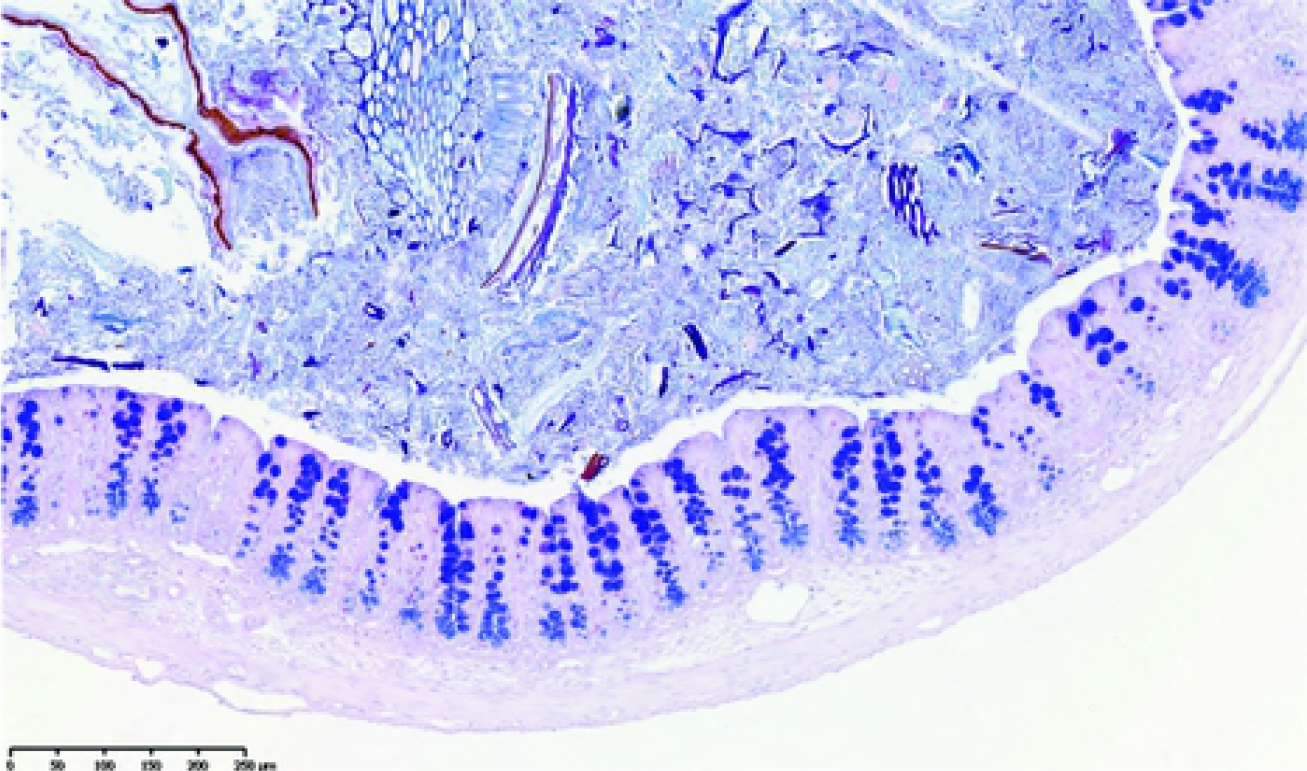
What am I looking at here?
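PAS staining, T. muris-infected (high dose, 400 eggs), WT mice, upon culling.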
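A stretch of caecal mucosa whose crypts are crowded with goblet cells, their mucus-filled cytoplasm stained deep blue and stacked in columns from crypt base to surface. Above lies the lumen with loose, fibrous blue-tinged contents, and below the crypts a thin pale layer of submucosa and muscle.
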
